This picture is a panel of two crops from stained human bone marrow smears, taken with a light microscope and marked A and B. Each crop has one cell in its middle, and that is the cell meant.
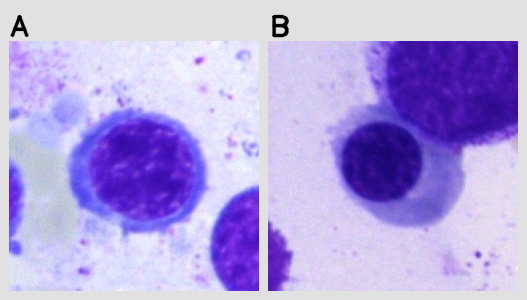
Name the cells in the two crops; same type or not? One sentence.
Yes, the central cells in both of the crops are erythroblasts.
